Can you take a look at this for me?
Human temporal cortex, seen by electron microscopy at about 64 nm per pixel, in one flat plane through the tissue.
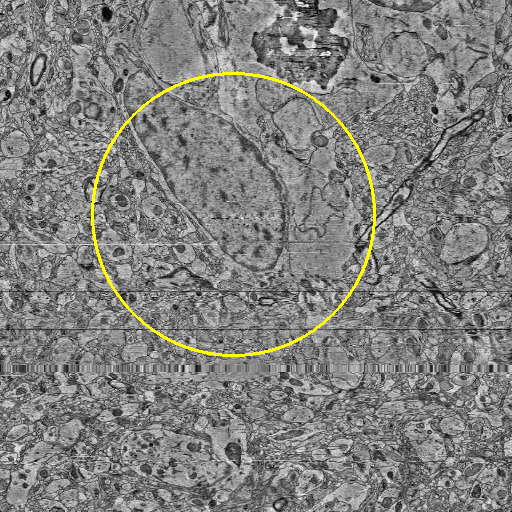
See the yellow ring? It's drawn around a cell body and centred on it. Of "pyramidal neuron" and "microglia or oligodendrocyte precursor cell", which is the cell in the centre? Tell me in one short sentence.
The one in the centre is a microglial cell or oligodendrocyte precursor cell.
